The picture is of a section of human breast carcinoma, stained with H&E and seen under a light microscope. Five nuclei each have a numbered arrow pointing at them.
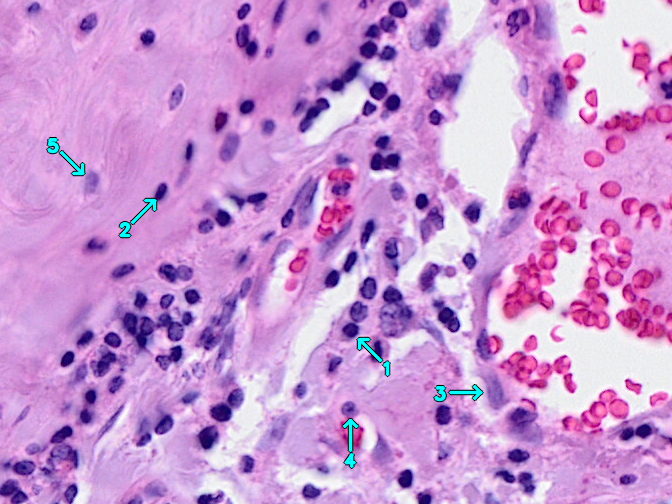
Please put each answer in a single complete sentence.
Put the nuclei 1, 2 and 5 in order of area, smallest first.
Smallest first, the nuclei run 2, 1, 5.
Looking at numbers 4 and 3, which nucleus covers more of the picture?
At about 2.5 times the area of nucleus 4, nucleus 3 is the larger of the two.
